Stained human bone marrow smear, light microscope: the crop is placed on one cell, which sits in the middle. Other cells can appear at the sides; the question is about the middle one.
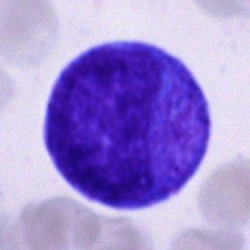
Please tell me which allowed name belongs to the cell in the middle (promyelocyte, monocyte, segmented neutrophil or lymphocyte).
promyelocyte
